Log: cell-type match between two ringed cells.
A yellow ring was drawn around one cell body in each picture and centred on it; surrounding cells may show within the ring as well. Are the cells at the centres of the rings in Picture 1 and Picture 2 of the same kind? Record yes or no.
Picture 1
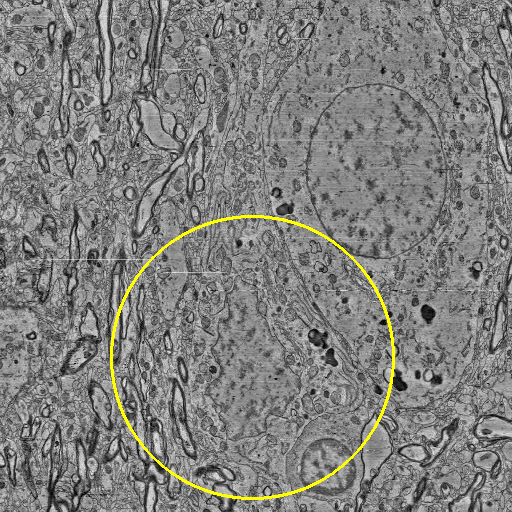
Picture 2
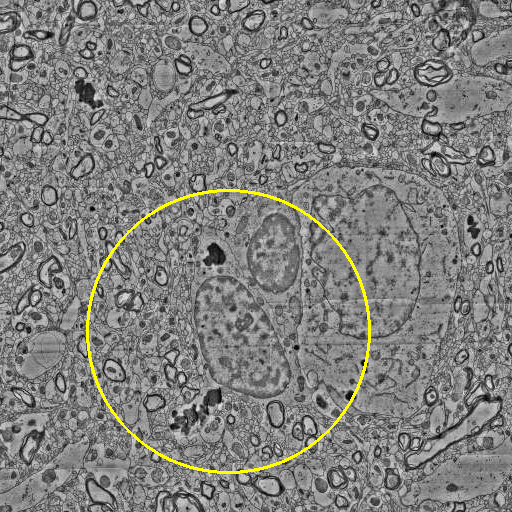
no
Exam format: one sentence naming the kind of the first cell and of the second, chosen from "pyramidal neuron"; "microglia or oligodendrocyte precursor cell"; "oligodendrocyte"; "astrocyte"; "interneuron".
The first picture's cell is an interneuron, and the second picture's cell is an oligodendrocyte.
